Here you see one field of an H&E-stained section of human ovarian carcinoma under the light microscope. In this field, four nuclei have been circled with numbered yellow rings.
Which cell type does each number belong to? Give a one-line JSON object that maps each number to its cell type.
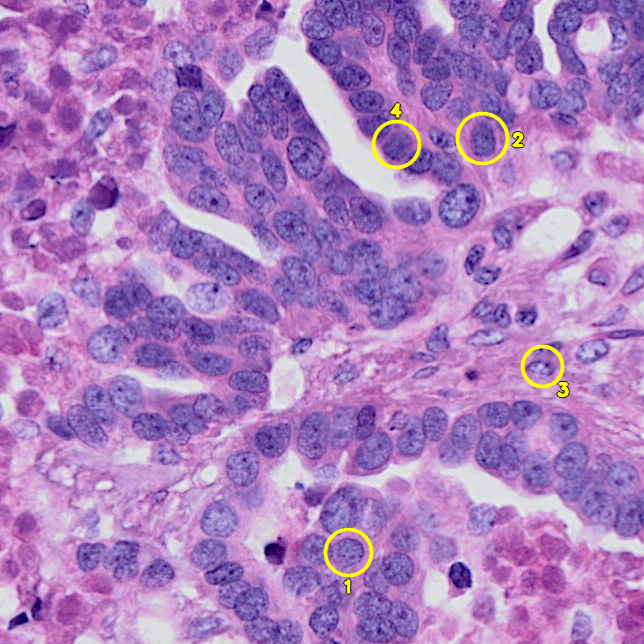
{"1": "carcinoma cell", "2": "carcinoma cell", "3": "fibroblast", "4": "carcinoma cell"}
